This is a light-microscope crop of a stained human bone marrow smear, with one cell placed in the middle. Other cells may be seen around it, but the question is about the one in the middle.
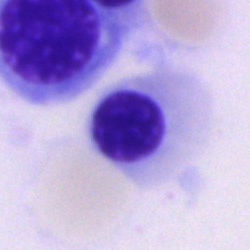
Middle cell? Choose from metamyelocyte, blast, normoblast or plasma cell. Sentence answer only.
The target cell in the middle of the crop is a normoblast.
